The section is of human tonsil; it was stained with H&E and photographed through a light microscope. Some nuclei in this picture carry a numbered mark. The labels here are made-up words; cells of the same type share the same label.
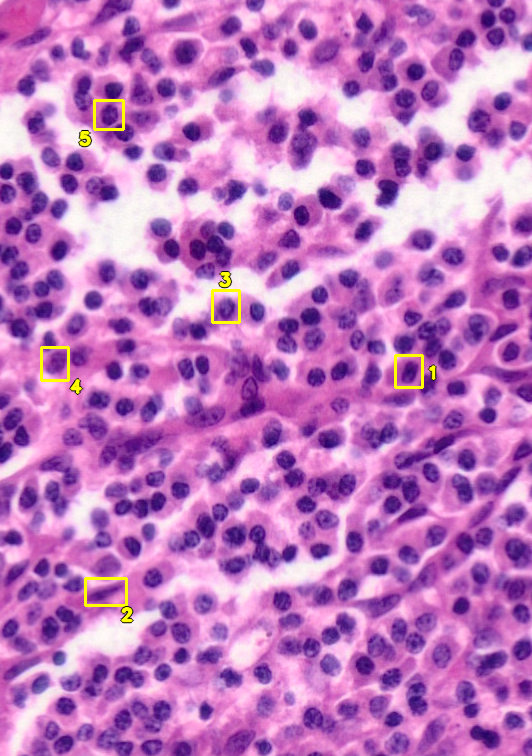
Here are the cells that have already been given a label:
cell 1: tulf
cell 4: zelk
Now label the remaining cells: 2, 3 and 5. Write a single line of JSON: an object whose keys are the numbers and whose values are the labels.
{"2": "zelk", "3": "tulf", "5": "tulf"}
